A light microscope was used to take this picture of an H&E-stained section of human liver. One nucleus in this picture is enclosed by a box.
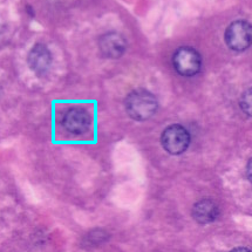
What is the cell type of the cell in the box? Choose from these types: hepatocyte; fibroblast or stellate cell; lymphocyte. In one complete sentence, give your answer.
In this section of tissue, the cell in the box is a hepatocyte.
